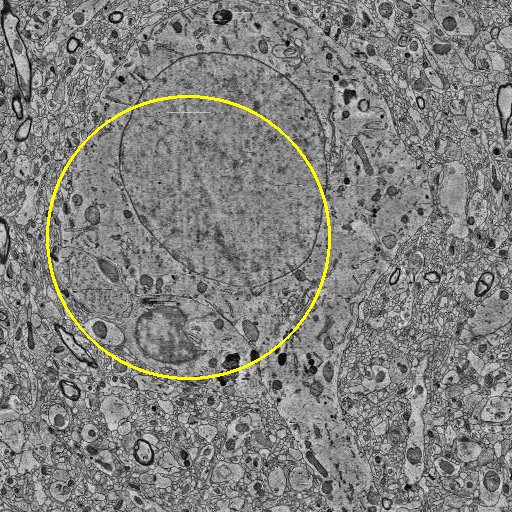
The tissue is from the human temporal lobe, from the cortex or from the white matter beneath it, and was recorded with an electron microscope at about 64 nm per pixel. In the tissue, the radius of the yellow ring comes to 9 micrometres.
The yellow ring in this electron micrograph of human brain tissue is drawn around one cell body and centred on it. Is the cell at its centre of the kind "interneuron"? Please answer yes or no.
no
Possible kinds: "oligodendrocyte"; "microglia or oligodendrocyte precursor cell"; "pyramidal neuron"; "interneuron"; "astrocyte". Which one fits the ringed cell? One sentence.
The cell ringed in the picture is a pyramidal neuron.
